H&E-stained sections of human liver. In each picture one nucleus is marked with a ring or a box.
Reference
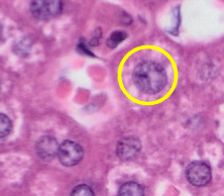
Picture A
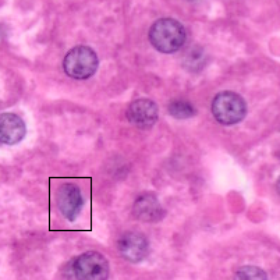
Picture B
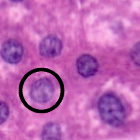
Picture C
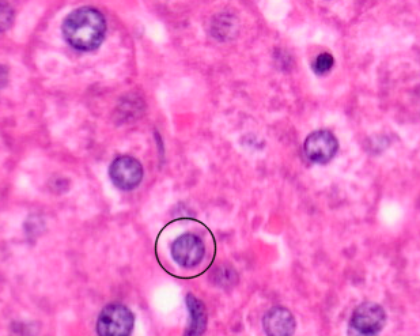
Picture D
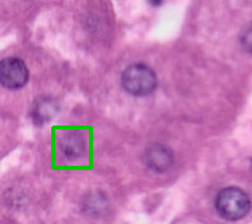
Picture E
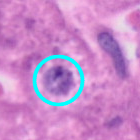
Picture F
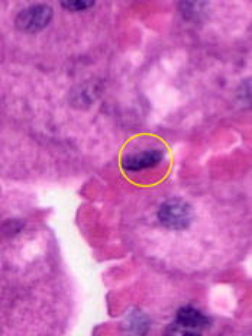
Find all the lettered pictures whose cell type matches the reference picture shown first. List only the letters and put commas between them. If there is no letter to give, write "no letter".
B, C, D, E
